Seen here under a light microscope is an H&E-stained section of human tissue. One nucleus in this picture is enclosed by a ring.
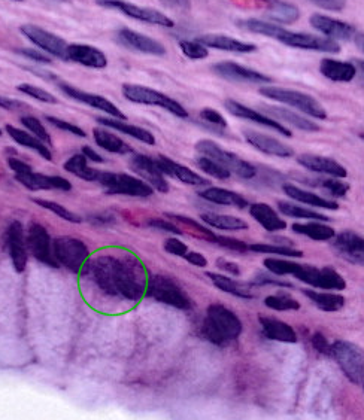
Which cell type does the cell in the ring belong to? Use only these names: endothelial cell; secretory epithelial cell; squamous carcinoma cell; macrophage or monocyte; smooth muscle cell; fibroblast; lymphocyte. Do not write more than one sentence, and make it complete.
At the level of cell identity, the cell in the ring is a secretory epithelial cell.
